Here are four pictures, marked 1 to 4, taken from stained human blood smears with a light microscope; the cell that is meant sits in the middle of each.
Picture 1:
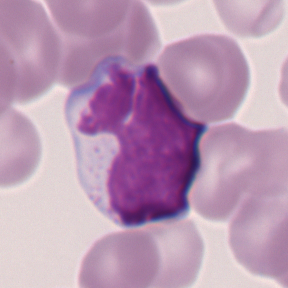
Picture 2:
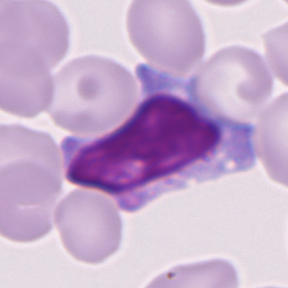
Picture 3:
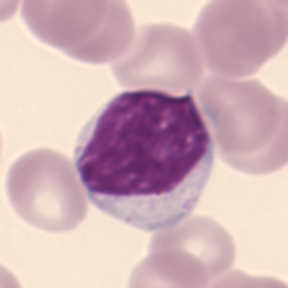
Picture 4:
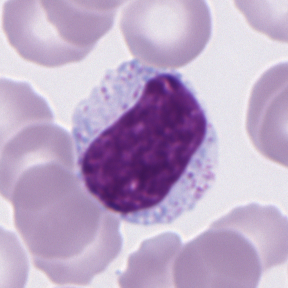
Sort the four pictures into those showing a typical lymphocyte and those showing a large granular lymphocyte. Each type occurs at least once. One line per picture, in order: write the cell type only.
large granular lymphocyte
typical lymphocyte
large granular lymphocyte
large granular lymphocyte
